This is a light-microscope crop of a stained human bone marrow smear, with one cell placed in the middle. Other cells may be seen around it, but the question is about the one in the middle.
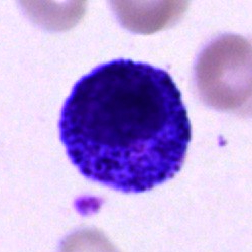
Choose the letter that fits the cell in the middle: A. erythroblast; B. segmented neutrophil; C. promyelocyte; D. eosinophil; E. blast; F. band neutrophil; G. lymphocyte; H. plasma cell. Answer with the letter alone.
C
